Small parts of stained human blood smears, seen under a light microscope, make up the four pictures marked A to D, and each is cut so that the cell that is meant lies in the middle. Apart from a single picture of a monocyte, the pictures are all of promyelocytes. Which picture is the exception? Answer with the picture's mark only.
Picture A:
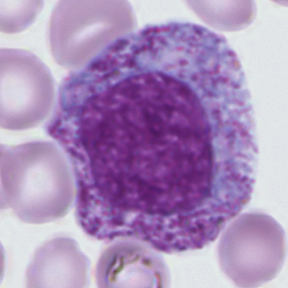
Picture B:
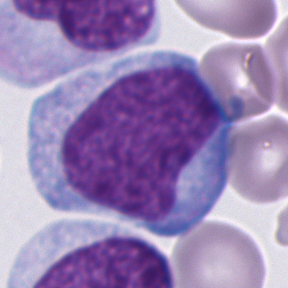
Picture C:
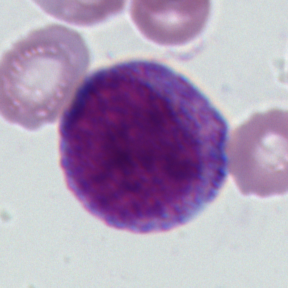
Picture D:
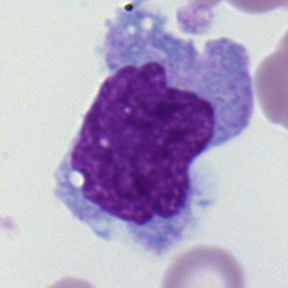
D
